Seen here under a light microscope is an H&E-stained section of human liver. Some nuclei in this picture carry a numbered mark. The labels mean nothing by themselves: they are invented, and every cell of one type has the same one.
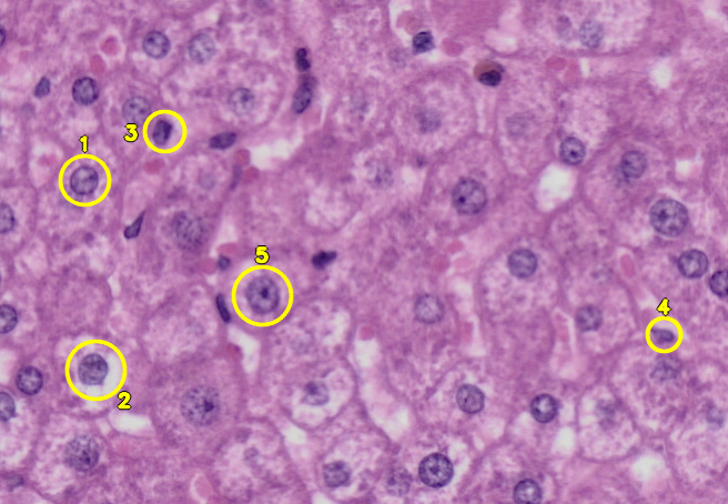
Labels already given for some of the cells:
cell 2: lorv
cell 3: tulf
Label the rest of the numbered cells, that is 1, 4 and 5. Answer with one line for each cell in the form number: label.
1: lorv
4: tulf
5: lorv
